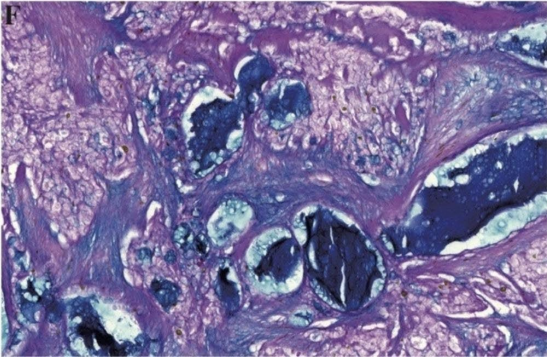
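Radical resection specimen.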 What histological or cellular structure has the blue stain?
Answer: Mucous secretion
